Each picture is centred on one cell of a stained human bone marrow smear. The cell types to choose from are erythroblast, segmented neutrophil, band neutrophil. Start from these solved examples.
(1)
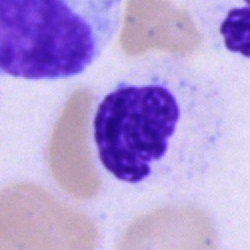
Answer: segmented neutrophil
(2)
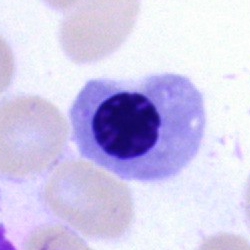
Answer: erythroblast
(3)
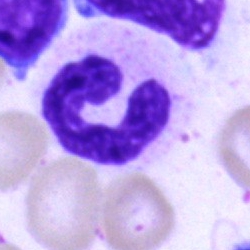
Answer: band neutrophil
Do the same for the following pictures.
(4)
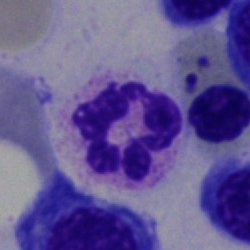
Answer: segmented neutrophil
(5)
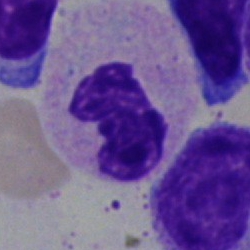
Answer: band neutrophil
